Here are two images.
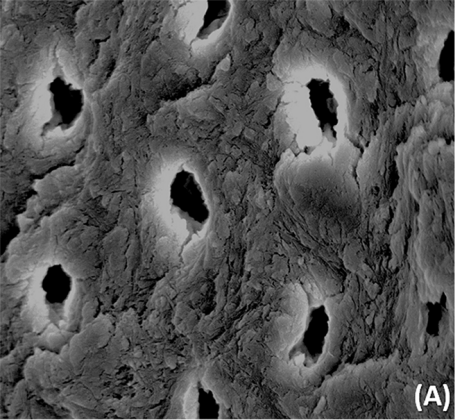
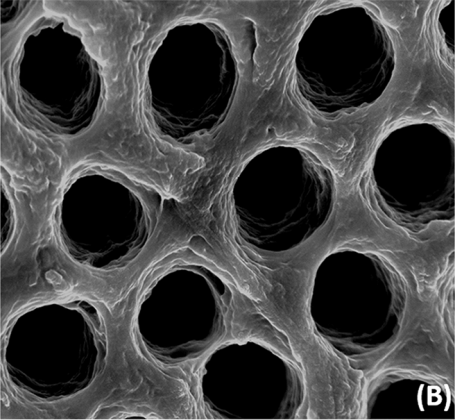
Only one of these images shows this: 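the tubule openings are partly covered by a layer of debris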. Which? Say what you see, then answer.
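The first image. Second image: tubule openings are wide, round and fully open on a clean surface.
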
